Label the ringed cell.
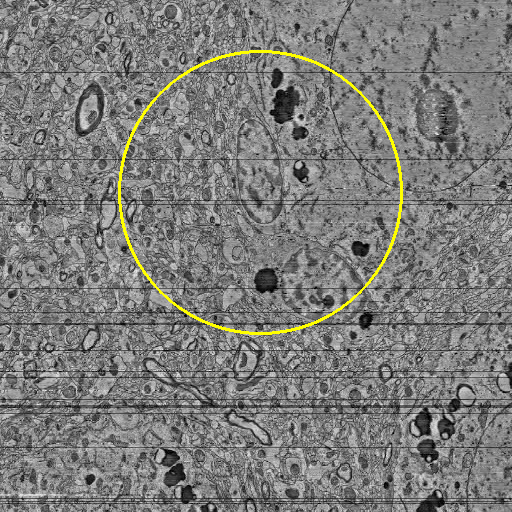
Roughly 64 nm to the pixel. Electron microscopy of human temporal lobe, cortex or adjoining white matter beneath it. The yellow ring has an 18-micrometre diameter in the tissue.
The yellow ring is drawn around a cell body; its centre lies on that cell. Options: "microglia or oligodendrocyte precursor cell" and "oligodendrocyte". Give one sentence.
The ringed cell is a microglial cell or oligodendrocyte precursor cell.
